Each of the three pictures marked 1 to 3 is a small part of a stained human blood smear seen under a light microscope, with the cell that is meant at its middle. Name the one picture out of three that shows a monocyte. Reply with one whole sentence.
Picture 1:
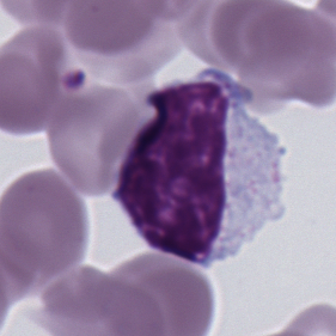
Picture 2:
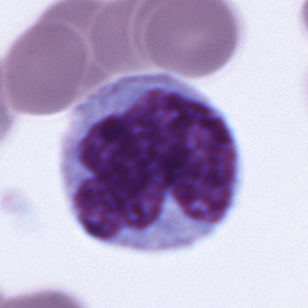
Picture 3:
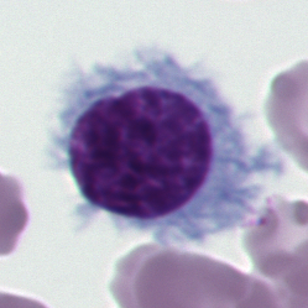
Picture 2 shows the monocyte.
